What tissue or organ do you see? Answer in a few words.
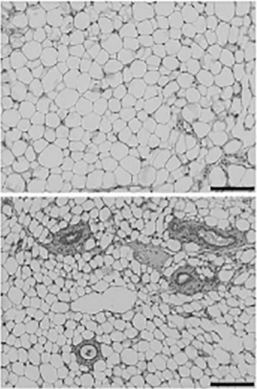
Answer: Mammary adipose tissue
